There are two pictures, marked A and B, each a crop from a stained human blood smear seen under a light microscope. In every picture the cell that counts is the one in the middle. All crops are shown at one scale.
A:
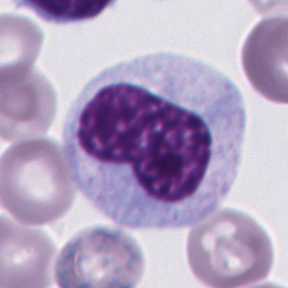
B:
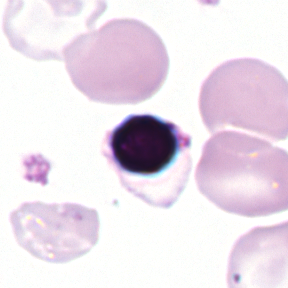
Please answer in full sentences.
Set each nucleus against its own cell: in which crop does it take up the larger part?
Of the two, the nucleus in picture B makes up the greater part of its cell.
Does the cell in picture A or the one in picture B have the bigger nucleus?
It is the nucleus in picture A, about 4 times as large in area as the one in picture B.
